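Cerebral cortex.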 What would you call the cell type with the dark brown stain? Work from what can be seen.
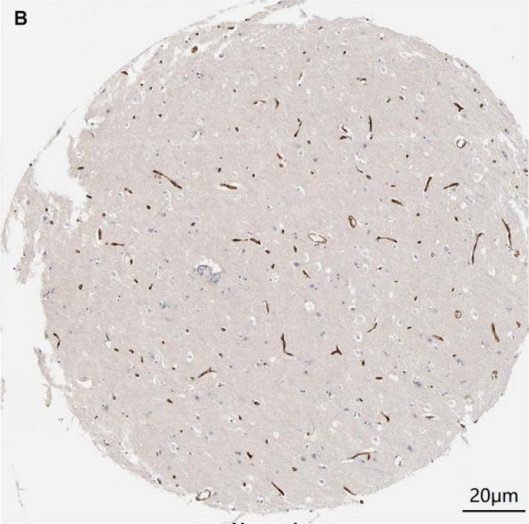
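Endothelial cells. Dark brown stain lines thin, elongated and branching tubular profiles. The stained profiles are scattered evenly through pale tissue. The surrounding tissue between the profiles is only faintly stained.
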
